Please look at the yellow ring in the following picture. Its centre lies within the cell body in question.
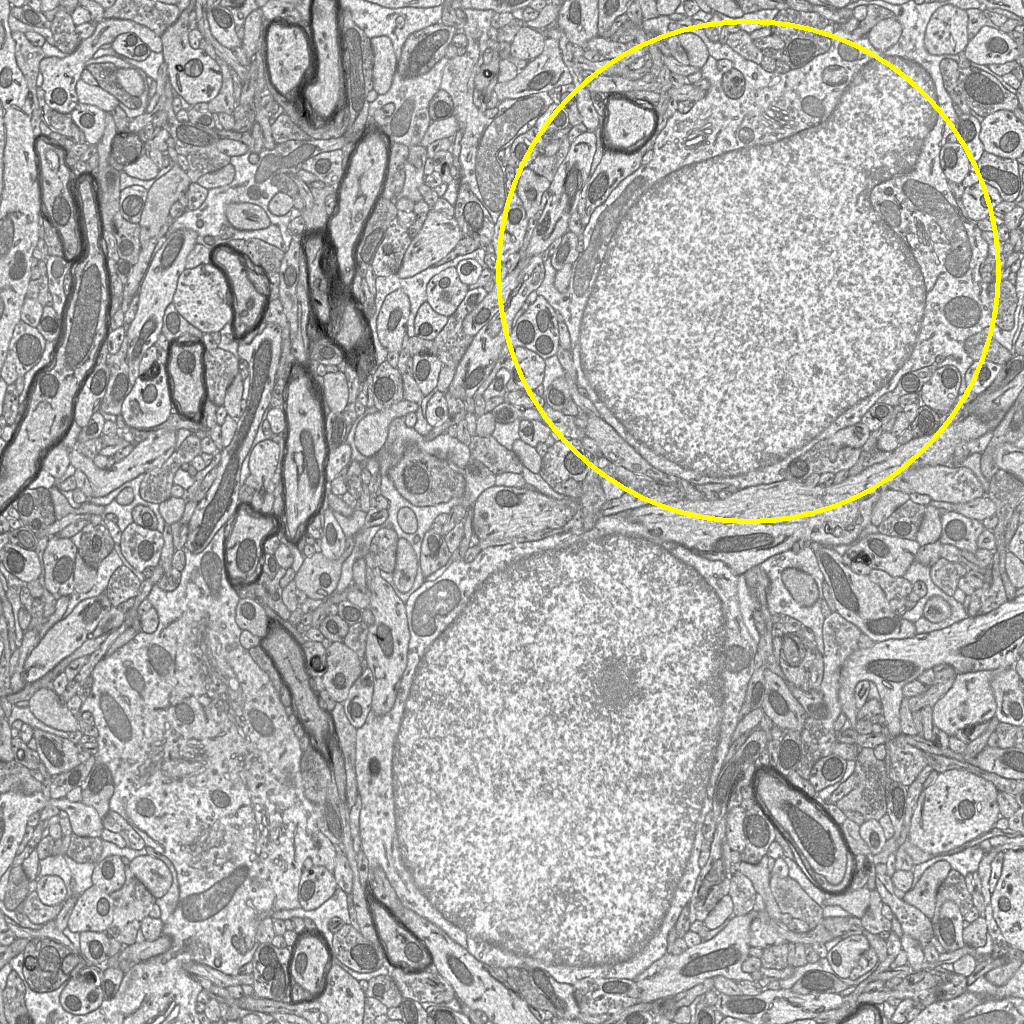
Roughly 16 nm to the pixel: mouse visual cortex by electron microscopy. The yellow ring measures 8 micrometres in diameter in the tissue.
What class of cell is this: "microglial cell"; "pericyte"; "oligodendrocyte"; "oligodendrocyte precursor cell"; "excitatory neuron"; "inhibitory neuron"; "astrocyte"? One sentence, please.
The centre of the ring lies in the cell body of an astrocyte.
